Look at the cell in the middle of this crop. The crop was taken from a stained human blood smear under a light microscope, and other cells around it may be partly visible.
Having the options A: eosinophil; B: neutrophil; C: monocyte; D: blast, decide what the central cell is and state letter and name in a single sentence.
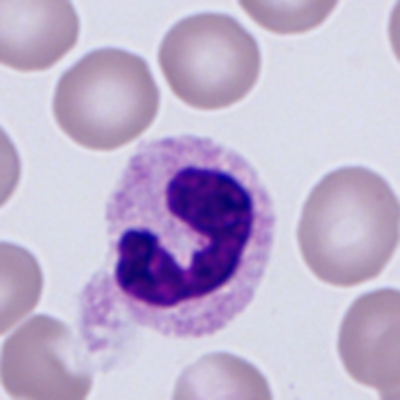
Identified correctly by option B, the cell in the middle is a neutrophil.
